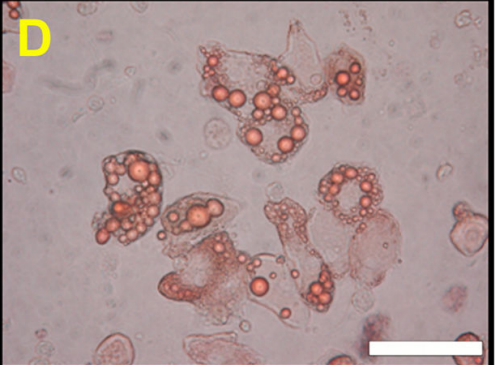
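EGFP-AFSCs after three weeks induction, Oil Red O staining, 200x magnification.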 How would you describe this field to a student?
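These are cultured cells that have taken on the character of fat cells. Their cytoplasm is packed with round, glossy red-stained droplets of many sizes, some large and some small, often crowded around the cell's edge.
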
